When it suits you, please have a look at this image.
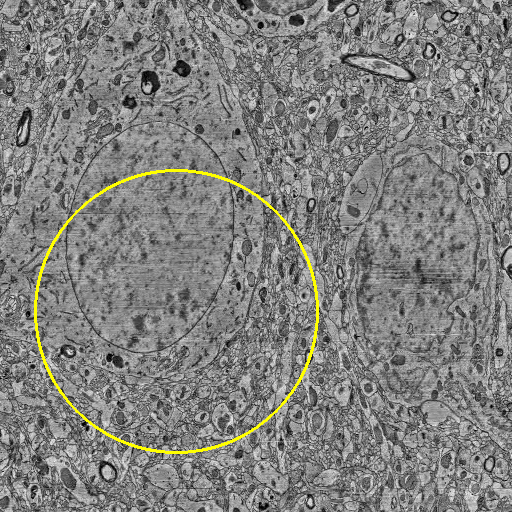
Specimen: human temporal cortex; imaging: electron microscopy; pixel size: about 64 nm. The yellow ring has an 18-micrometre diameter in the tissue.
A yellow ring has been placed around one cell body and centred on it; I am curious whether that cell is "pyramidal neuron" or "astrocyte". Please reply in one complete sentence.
The ringed cell, a pyramidal neuron, has its body at the centre of the yellow ring.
